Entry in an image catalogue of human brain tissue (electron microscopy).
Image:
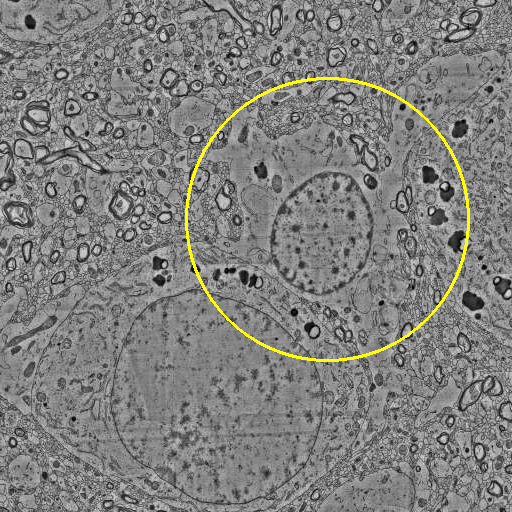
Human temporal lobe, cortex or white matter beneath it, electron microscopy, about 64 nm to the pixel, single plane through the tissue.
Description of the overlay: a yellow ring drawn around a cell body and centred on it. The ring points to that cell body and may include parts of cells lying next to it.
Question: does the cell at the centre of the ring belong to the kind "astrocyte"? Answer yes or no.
yes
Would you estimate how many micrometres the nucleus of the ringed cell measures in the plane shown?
The nucleus of the ringed cell is approximately 8 by 6 micrometres in this plane.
